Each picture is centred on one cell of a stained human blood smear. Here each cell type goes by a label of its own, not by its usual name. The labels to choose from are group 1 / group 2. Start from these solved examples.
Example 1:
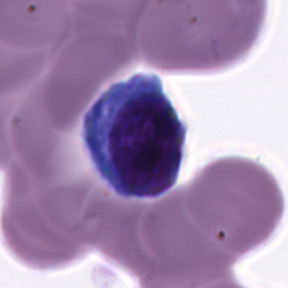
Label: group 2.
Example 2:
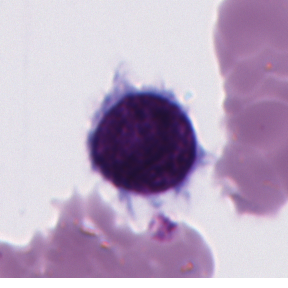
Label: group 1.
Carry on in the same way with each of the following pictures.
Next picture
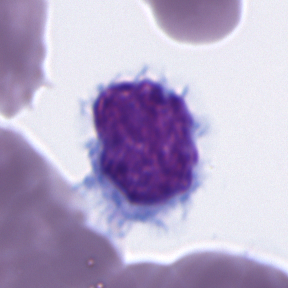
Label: group 1.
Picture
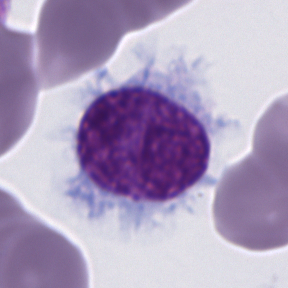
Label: group 1.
